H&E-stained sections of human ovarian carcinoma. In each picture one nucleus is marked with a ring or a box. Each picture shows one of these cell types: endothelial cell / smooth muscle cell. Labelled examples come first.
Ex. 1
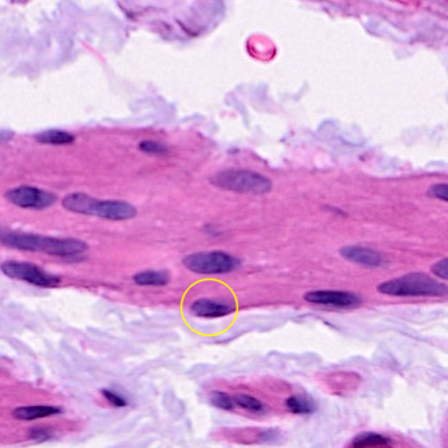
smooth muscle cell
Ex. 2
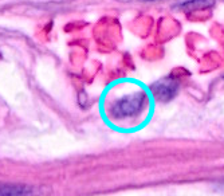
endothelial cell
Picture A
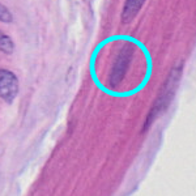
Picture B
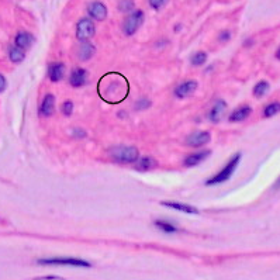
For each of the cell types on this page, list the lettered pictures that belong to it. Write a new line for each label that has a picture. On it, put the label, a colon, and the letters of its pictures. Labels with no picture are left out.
smooth muscle cell: A, B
